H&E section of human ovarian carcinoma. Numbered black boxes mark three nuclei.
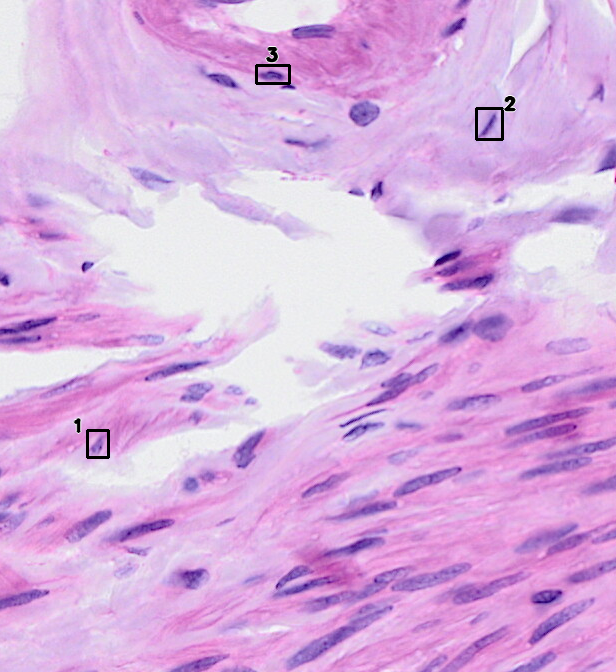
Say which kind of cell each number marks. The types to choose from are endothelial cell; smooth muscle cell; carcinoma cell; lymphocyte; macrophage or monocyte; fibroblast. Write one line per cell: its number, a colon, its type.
1: smooth muscle cell
2: fibroblast
3: smooth muscle cell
